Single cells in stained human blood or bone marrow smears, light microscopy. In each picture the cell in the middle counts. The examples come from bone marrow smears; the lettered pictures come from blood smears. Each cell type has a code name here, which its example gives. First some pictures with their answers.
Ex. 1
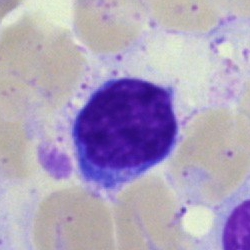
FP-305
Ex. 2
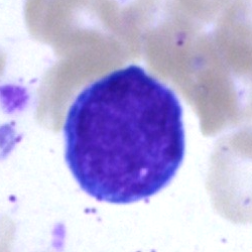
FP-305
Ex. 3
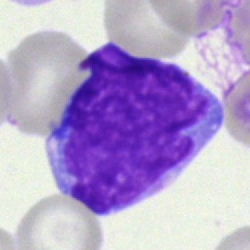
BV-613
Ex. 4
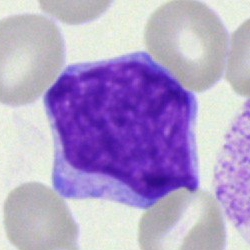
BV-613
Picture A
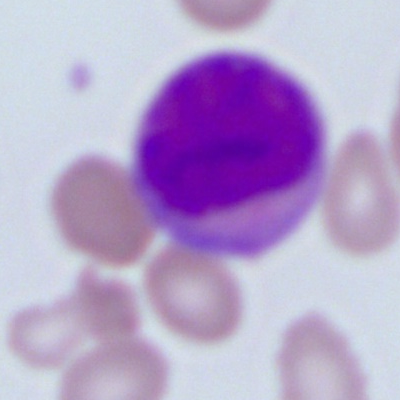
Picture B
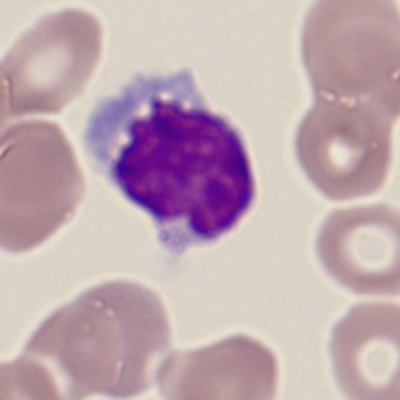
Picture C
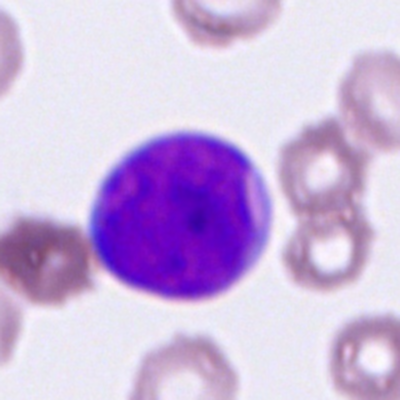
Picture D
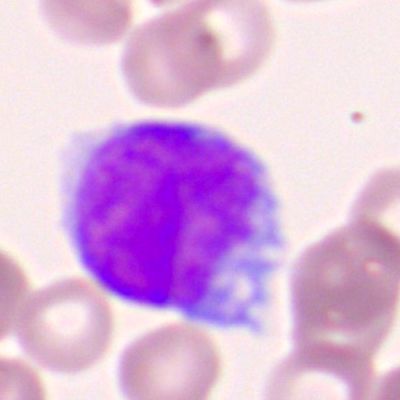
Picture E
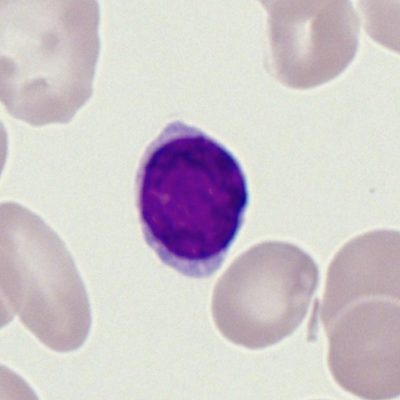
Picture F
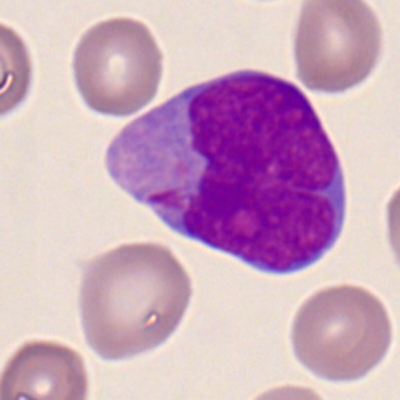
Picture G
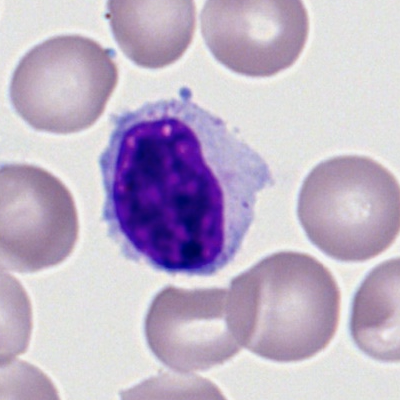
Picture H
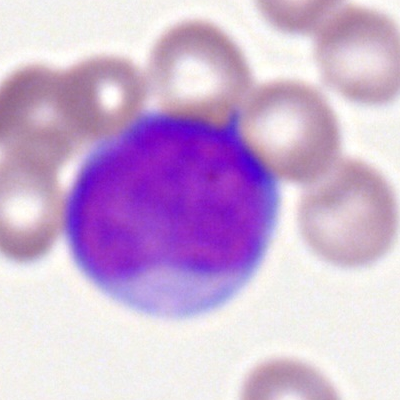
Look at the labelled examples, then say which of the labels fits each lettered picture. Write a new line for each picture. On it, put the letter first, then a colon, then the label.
A: BV-613
B: FP-305
C: BV-613
D: BV-613
E: FP-305
F: BV-613
G: FP-305
H: BV-613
